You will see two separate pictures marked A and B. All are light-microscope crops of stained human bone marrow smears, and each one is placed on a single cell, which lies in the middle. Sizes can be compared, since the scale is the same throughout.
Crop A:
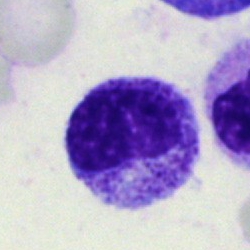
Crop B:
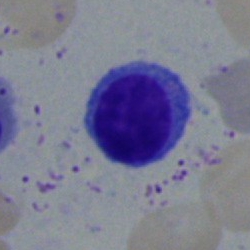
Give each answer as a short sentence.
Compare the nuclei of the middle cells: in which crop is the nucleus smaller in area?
Crop B shows the smaller nucleus, since that in crop A covers about 1.5 times as much area.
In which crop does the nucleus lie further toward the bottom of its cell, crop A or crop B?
It is the nucleus in crop B that lies further toward the bottom of its cell.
